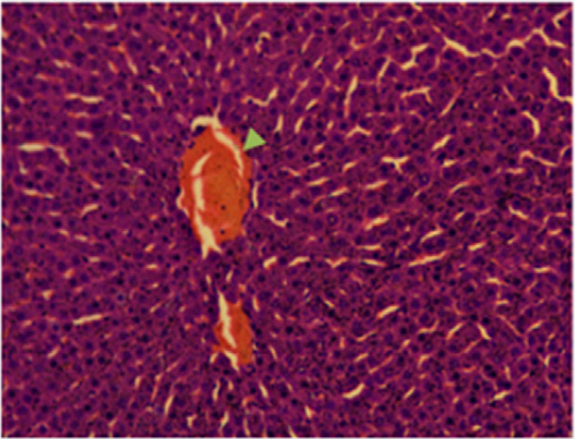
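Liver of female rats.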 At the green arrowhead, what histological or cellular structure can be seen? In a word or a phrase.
central vein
